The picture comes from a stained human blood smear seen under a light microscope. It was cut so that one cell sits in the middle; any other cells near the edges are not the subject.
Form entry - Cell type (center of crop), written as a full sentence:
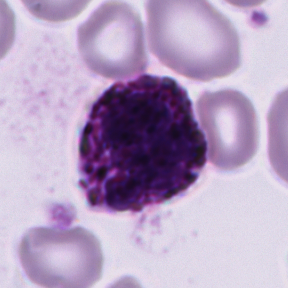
Whatever else lies nearby, the middle cell is a basophil.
